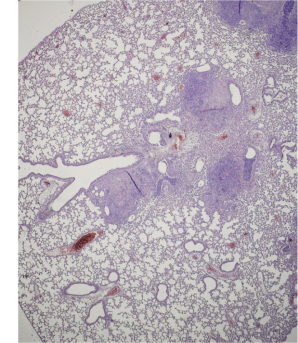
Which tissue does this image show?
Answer: lung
